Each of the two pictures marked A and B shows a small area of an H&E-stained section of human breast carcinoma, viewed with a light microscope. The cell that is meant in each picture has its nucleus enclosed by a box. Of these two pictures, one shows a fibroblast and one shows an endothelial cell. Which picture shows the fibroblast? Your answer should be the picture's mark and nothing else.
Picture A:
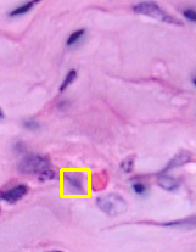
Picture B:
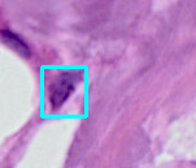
B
